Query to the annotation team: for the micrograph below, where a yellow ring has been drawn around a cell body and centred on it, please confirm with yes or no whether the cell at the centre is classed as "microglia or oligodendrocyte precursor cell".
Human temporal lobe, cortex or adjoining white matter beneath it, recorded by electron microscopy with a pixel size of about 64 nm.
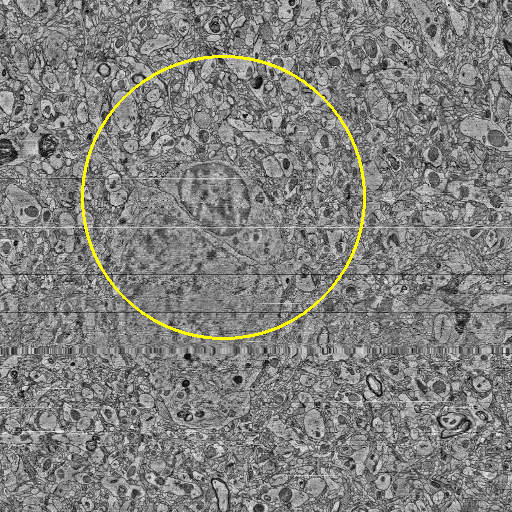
No, it belongs to another class.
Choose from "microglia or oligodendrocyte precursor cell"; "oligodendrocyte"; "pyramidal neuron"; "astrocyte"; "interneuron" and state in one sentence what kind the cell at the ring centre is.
So the cell at the centre is an oligodendrocyte.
